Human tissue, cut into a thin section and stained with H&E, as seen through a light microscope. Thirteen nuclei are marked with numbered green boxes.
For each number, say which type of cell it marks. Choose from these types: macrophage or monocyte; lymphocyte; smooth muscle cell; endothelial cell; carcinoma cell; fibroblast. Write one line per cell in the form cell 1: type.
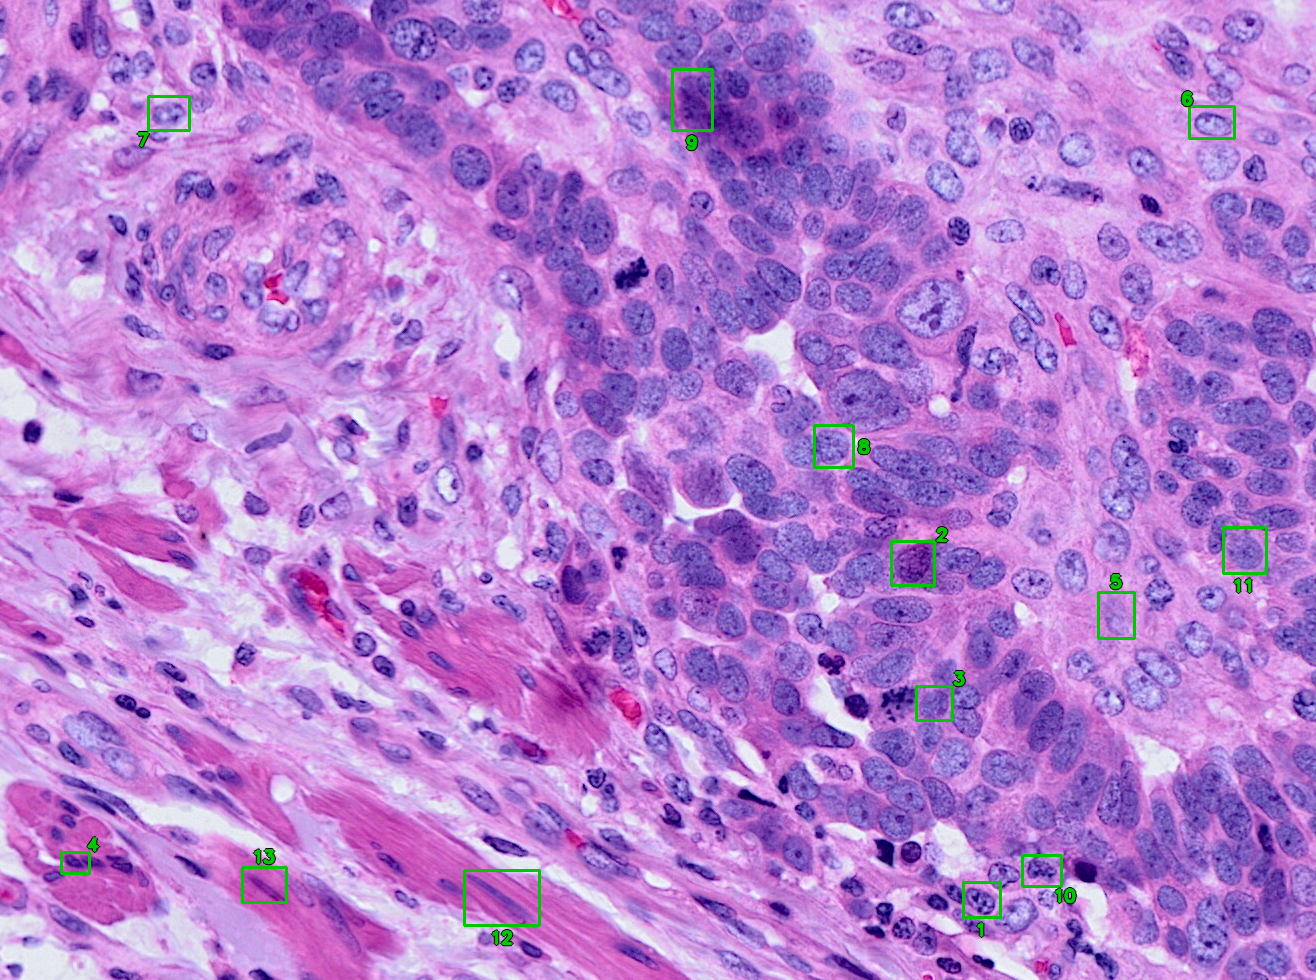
cell 1: macrophage or monocyte
cell 2: carcinoma cell
cell 3: carcinoma cell
cell 4: smooth muscle cell
cell 5: fibroblast
cell 6: fibroblast
cell 7: fibroblast
cell 8: carcinoma cell
cell 9: carcinoma cell
cell 10: macrophage or monocyte
cell 11: carcinoma cell
cell 12: smooth muscle cell
cell 13: smooth muscle cell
